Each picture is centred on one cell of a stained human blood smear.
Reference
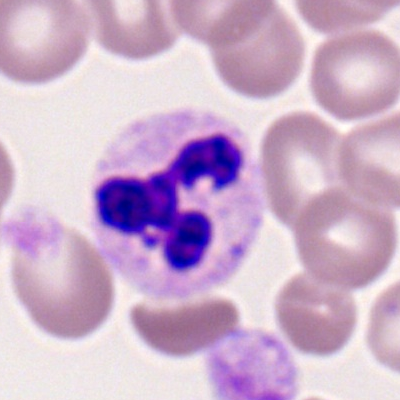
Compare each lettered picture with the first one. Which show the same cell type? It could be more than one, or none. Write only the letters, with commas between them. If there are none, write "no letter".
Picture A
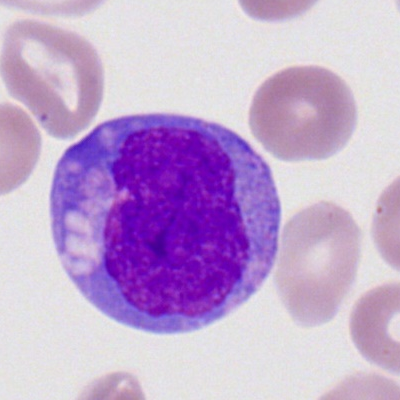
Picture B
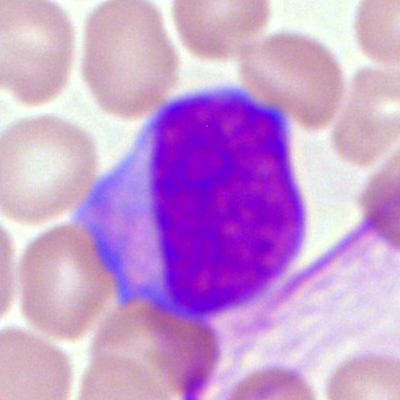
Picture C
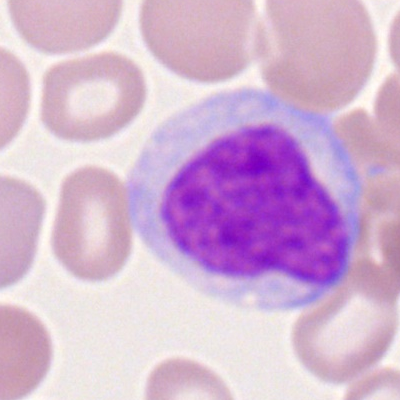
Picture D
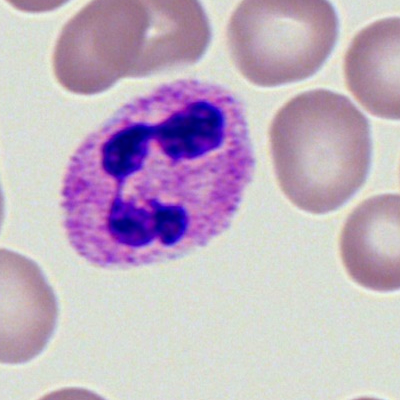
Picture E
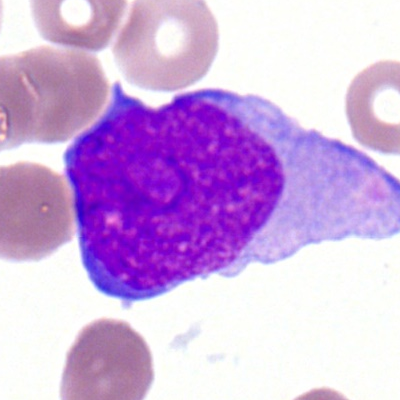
D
